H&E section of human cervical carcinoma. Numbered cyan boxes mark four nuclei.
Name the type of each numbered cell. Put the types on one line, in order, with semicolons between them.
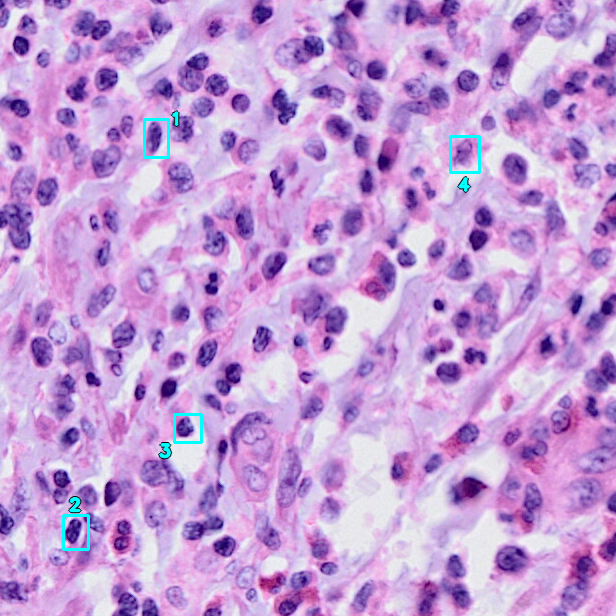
lymphocyte; lymphocyte; lymphocyte; macrophage or monocyte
